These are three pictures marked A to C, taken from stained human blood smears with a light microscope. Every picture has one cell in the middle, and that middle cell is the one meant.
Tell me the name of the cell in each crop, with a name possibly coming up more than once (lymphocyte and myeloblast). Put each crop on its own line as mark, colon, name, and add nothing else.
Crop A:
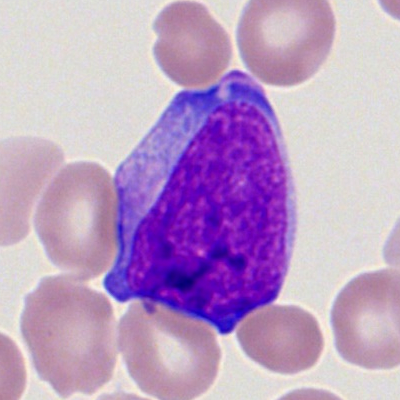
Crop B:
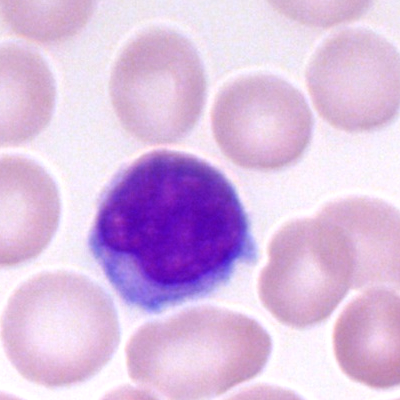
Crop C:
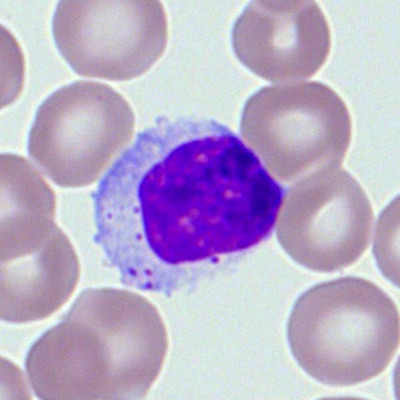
A: myeloblast
B: lymphocyte
C: lymphocyte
